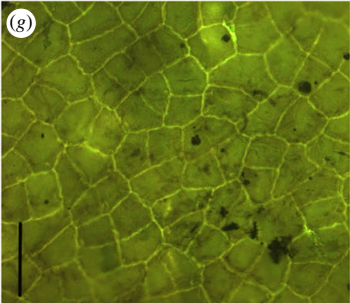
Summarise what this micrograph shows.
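The anticlinal walls glow as bright green-yellow lines against a darker green ground, marking out a tight mosaic of polygonal cells. The cells are roughly equal in length and breadth, mostly five- or six-sided, and fit together without gaps. The walls are straight rather than wavy. No stomata interrupt the pattern here, and no cell contents or nuclei are preserved; a few small dark specks lie scattered over the surface.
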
